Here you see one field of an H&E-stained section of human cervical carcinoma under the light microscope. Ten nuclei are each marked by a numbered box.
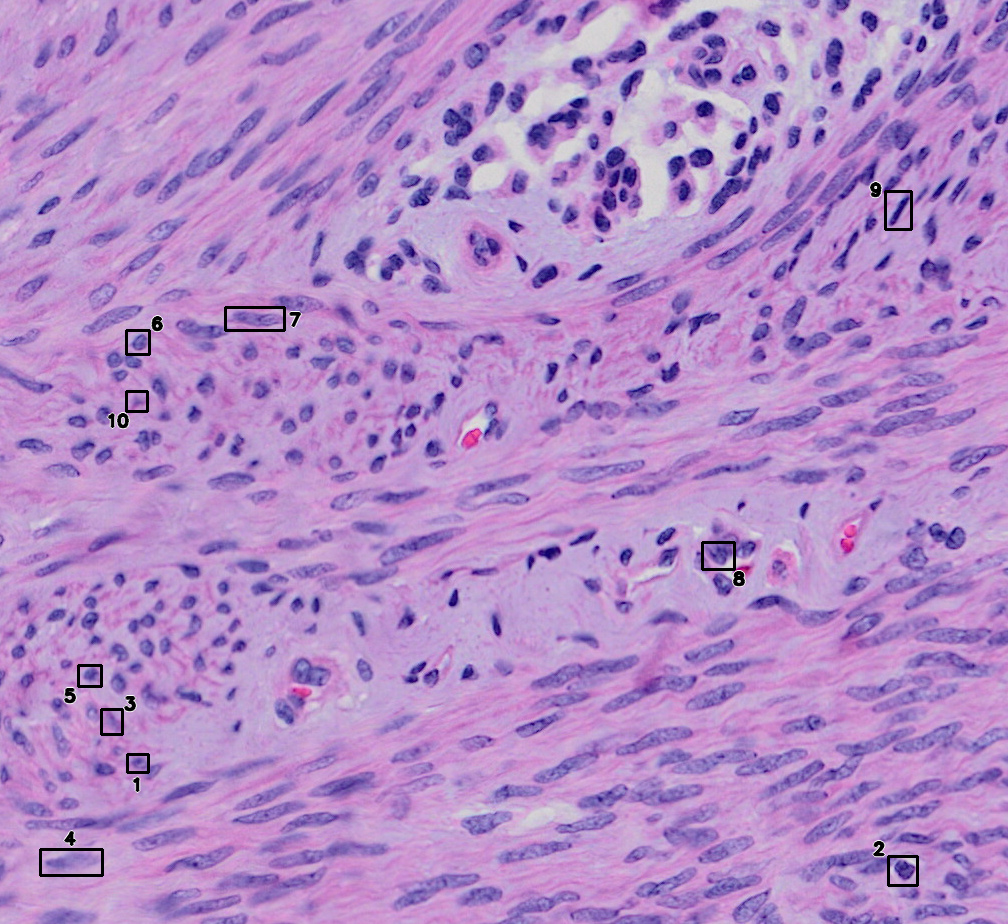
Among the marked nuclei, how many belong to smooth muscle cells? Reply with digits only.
6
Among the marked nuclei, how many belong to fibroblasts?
2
